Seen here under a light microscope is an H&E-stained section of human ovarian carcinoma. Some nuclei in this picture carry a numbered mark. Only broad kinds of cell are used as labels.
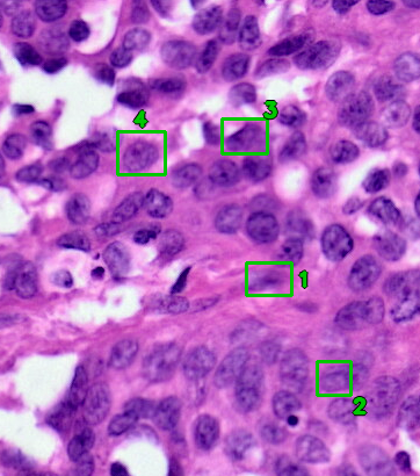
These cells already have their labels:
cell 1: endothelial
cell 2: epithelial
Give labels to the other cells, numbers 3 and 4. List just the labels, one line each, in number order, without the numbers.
epithelial
epithelial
